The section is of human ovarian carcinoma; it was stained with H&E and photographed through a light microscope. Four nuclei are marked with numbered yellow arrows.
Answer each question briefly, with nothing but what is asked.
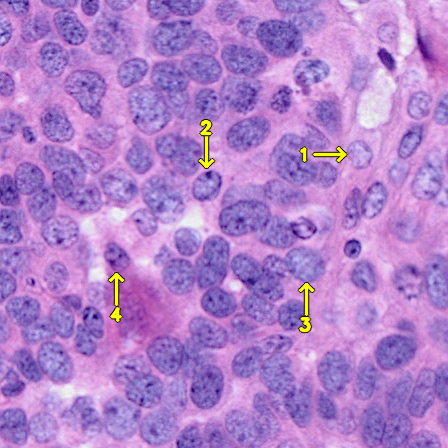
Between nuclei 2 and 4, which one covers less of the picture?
4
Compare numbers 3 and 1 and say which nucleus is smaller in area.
1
